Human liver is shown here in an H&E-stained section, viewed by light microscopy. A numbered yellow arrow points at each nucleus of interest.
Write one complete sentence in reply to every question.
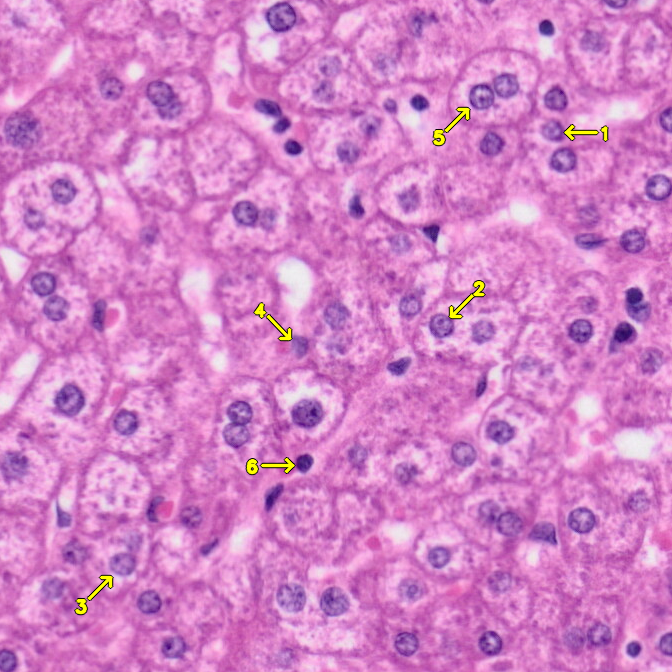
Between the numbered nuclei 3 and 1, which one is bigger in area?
Nucleus 3 is larger, with an area about 1.5 times that of nucleus 1.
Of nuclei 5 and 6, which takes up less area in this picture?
The smaller nucleus is 6, and 5 covers roughly 2 times its area.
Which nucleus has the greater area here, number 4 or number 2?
It is nucleus 2, which covers about 1.5 times the area of nucleus 4.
